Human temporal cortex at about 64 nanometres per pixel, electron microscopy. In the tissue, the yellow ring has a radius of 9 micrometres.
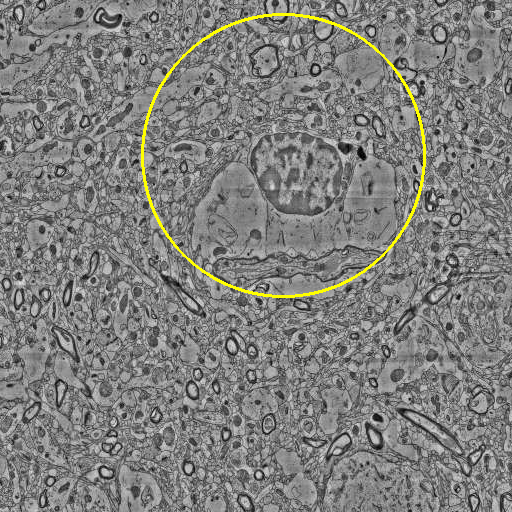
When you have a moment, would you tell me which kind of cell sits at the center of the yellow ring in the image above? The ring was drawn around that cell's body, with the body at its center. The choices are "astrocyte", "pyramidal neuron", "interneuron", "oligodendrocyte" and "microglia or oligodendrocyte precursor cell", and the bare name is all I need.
microglia or oligodendrocyte precursor cell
